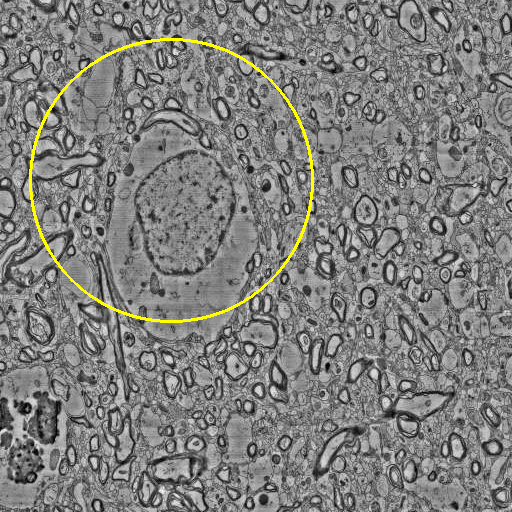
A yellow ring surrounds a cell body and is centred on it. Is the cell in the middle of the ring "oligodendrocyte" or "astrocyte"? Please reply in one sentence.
The ring is centred on an astrocyte.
